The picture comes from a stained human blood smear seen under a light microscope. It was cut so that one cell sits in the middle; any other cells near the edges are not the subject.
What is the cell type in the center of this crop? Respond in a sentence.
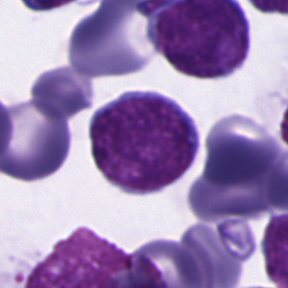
In the central position of this crop, the cell is a myeloblast.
